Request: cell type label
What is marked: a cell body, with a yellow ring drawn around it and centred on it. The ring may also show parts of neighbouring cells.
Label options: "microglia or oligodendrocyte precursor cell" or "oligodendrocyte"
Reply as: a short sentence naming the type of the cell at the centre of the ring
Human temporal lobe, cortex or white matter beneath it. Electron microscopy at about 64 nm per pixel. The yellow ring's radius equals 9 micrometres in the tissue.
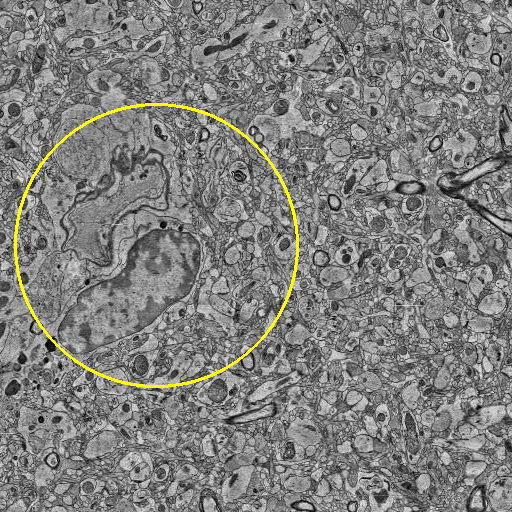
The marked cell body is that of a microglial cell or oligodendrocyte precursor cell.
